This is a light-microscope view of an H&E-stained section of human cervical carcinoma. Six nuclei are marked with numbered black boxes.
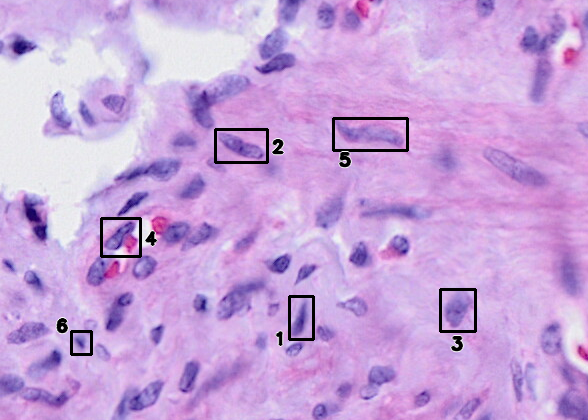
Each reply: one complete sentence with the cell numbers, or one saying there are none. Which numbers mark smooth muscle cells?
Among the numbered cells, cell 5 alone is a smooth muscle cell.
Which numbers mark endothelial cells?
Unlike the other numbered cells, cell 4 is an endothelial cell.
